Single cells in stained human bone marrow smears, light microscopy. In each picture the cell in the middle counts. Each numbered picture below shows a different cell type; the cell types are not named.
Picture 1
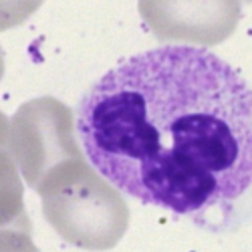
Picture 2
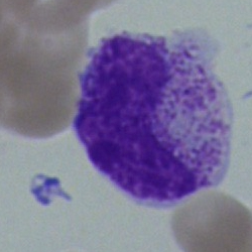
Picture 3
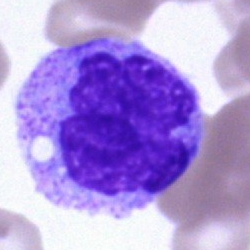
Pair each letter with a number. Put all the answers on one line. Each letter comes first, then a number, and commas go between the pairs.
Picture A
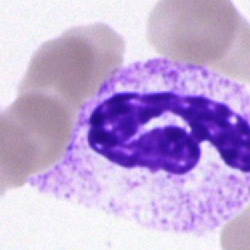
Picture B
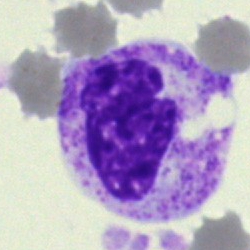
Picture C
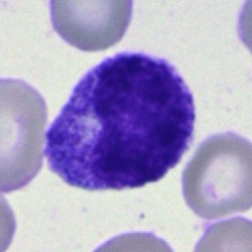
A 1, B 2, C 2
